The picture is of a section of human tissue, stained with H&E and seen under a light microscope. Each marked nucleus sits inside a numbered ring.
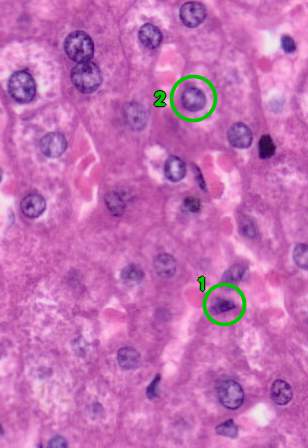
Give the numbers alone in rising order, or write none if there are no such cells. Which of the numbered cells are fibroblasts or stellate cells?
1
